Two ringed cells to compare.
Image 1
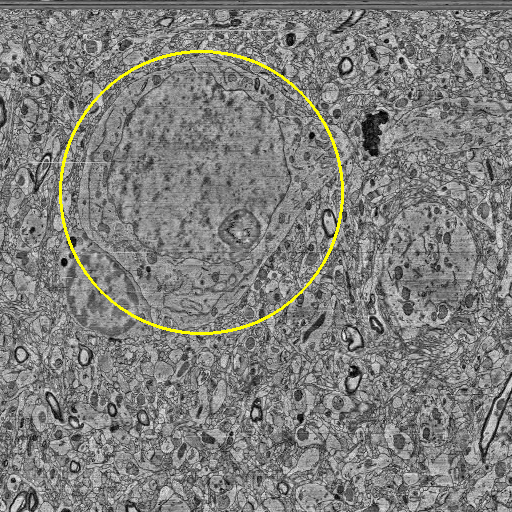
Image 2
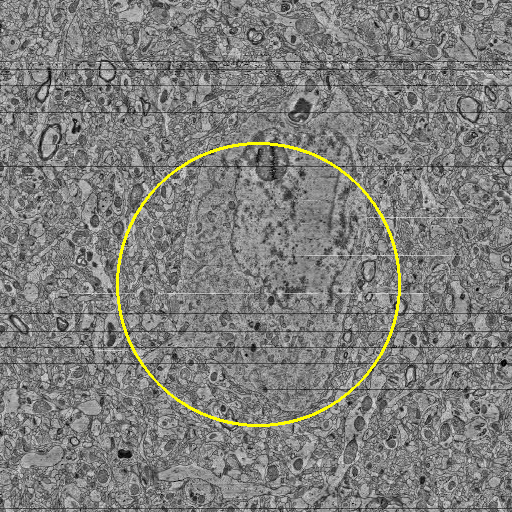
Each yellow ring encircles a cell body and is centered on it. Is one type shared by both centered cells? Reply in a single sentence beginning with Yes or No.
Yes, a single type is shared by the two cells at the centers of the rings.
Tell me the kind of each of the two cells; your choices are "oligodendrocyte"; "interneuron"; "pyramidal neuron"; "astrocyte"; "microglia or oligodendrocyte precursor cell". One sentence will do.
In each picture the ringed cell is an interneuron.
